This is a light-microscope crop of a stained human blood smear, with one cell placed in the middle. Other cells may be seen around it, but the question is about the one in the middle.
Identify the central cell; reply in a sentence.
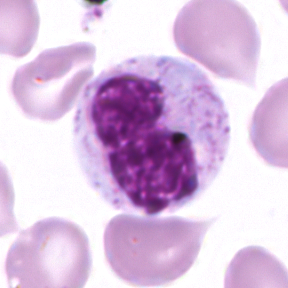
The centrally located cell in the crop is a band neutrophil.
